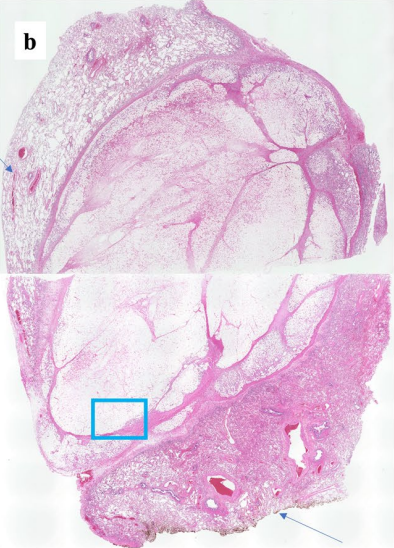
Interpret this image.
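This low-power section shows a large, well-demarcated mass of adipose tissue, pale and finely vacuolated, wrapped in a pink fibrous capsule. Thin fibrous septa run through it and divide it into lobules, and outside the capsule lies denser lung tissue with alveoli and blood vessels.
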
